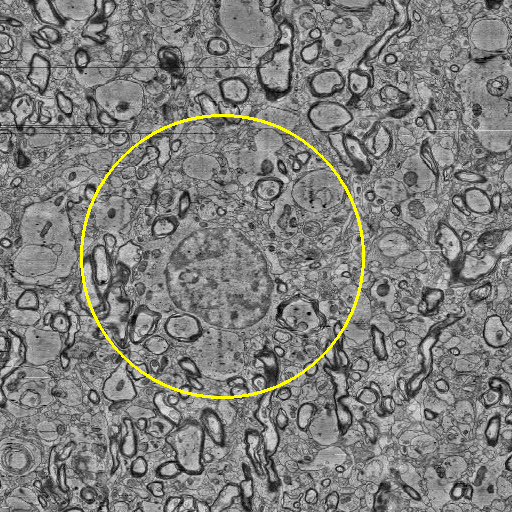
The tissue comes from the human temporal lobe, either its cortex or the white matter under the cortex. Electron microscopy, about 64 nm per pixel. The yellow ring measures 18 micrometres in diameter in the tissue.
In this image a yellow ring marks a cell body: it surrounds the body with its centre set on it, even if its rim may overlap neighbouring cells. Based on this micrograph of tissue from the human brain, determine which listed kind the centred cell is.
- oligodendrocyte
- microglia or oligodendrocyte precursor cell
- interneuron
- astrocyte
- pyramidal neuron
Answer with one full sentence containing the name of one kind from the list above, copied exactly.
It is an oligodendrocyte whose body the yellow ring encloses at its centre.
